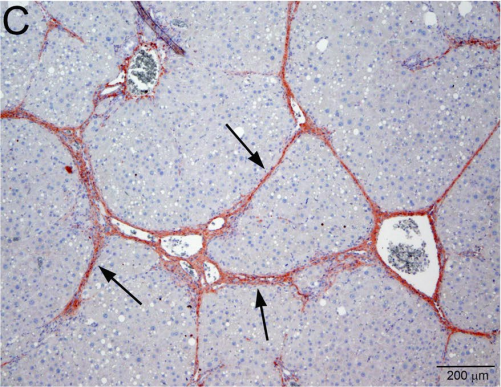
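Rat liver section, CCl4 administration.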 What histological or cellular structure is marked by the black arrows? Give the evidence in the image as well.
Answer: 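Arrows point at broad, strongly red-brown bands. The bands connect vessels and encircle nodules of liver cells.
Hence: thick collagen fibers.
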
